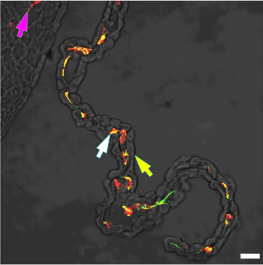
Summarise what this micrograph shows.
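This is choroid plexus, seen as a winding, looping ribbon of tissue lying in a clear space. Its surface is covered by a single continuous layer of cuboidal epithelial cells, whose outlines are visible in the gray brightfield image. Within the core of the ribbon run thin red and yellow fluorescent profiles of capillaries, following the course of the fold. A few segments appear green along the vessel profiles. The background on either side of the ribbon is largely empty.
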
